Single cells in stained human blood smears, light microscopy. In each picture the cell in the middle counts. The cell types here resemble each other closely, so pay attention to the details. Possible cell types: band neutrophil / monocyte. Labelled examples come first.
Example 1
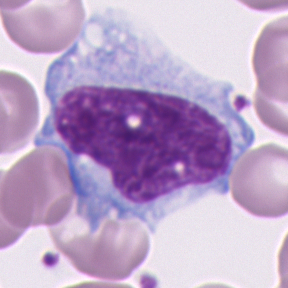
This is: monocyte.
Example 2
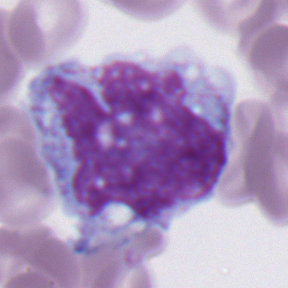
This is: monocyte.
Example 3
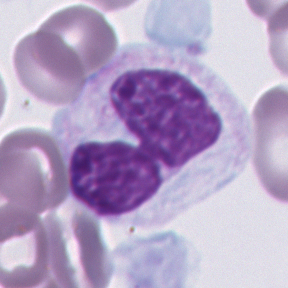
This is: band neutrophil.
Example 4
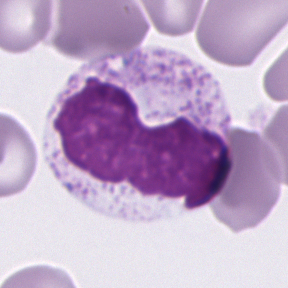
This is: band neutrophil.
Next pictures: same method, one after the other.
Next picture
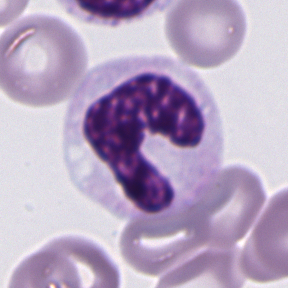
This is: band neutrophil.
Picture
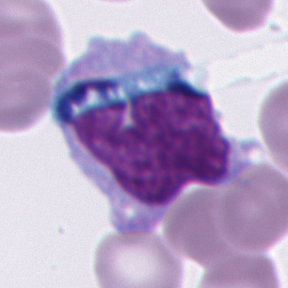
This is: monocyte.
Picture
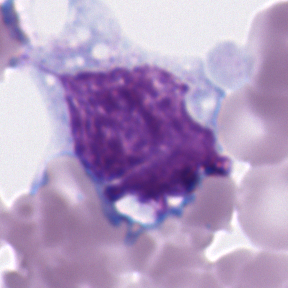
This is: monocyte.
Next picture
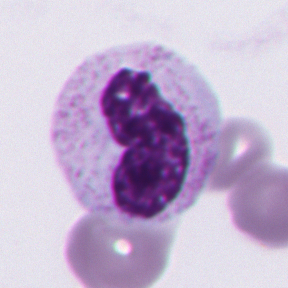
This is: band neutrophil.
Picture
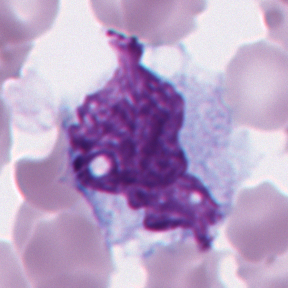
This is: monocyte.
